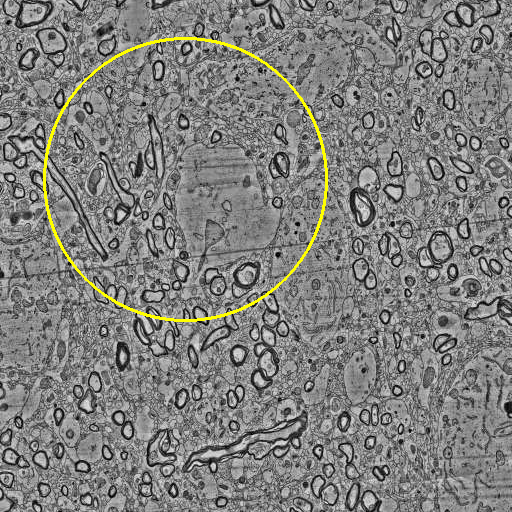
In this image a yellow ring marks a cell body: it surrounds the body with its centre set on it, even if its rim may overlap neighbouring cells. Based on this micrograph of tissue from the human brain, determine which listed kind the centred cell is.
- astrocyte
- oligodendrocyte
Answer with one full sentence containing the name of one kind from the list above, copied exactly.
It is an astrocyte whose body the yellow ring encloses at its centre.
